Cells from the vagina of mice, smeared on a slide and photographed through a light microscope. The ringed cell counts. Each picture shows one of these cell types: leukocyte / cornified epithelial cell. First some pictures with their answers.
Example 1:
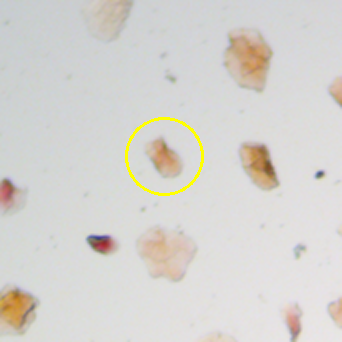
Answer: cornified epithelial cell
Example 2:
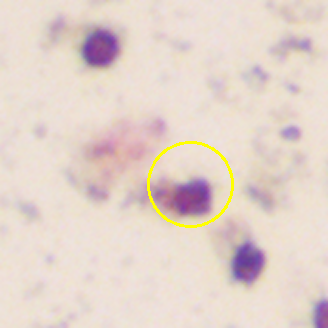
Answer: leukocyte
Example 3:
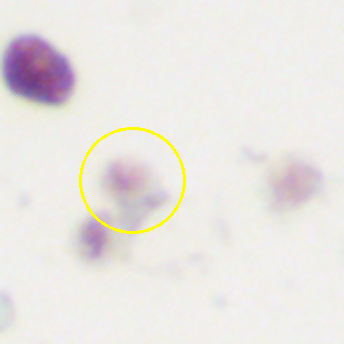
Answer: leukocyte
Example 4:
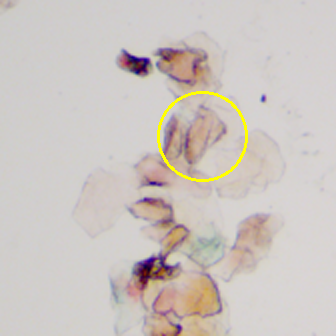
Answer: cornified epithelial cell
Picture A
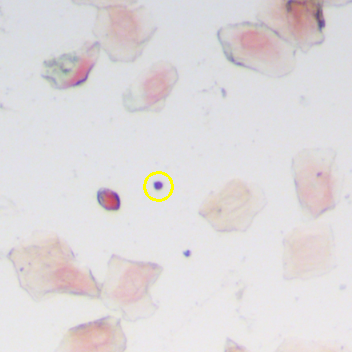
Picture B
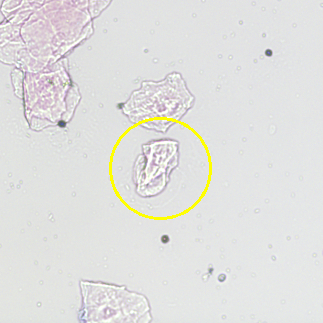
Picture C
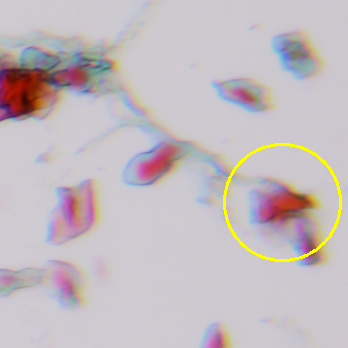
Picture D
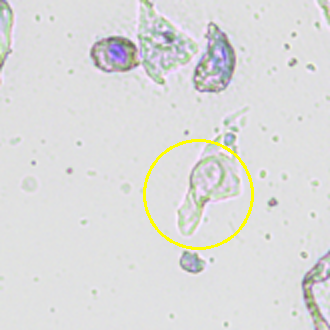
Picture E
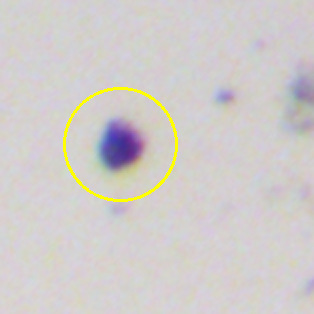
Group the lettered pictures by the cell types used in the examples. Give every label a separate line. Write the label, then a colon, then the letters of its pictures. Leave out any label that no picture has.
leukocyte: A, E
cornified epithelial cell: B, C, D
